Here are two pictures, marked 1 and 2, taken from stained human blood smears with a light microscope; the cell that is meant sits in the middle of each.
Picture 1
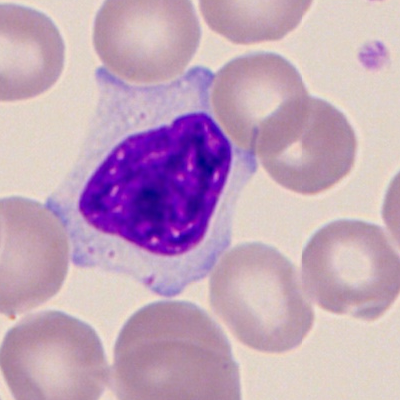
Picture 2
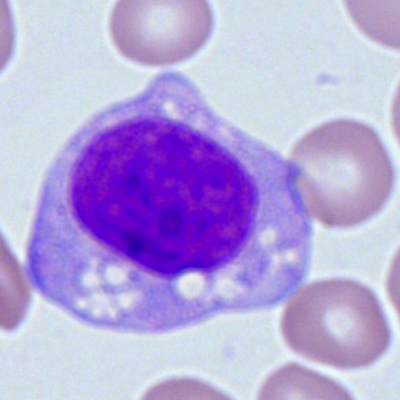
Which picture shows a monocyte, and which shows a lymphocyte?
1: lymphocyte
2: monocyte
